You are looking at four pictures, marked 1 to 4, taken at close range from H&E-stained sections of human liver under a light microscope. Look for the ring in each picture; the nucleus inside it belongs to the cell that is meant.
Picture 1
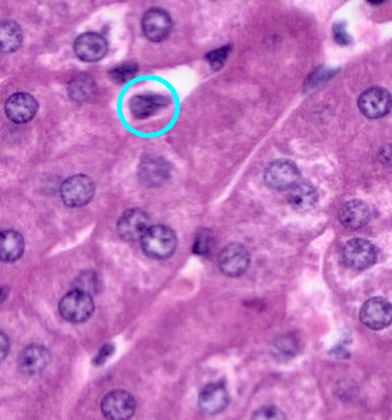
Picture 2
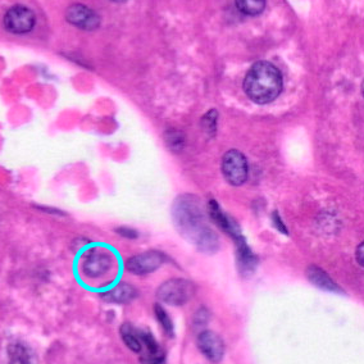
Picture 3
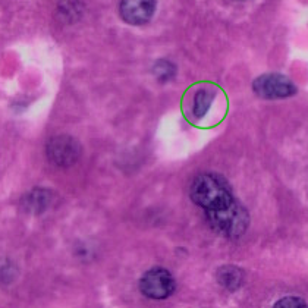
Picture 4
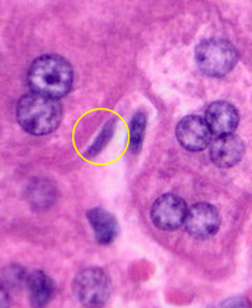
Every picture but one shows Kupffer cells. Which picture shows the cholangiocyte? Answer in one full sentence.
Picture 2 shows the cholangiocyte.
